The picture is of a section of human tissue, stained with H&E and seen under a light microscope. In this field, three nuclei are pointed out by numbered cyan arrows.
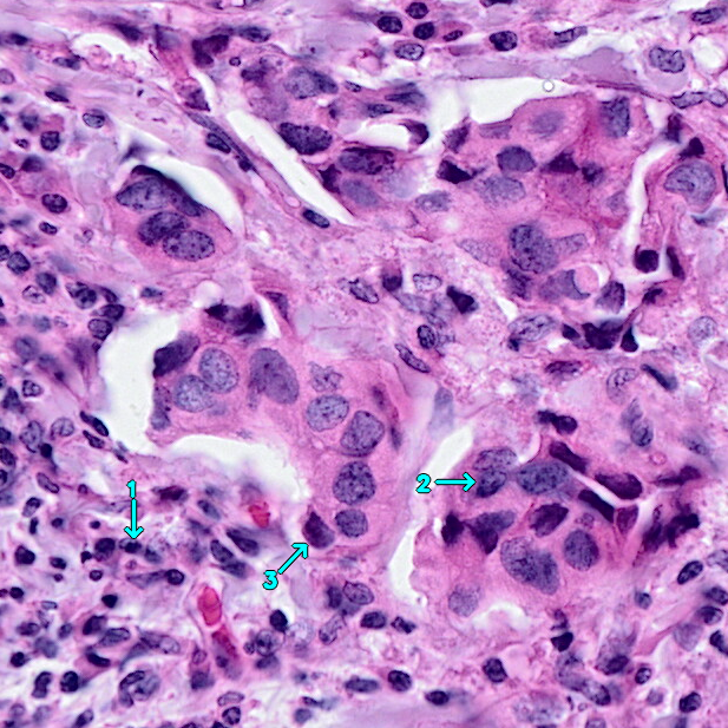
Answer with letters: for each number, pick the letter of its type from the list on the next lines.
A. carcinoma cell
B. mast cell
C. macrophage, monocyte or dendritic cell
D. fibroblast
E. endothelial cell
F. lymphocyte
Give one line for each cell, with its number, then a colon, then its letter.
1: F
2: A
3: A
